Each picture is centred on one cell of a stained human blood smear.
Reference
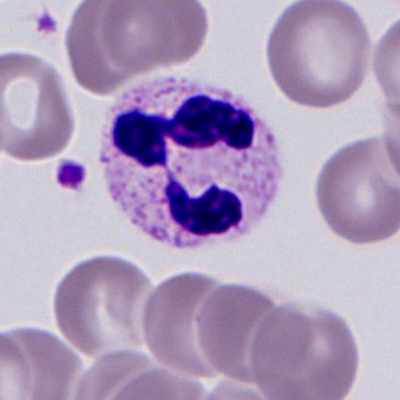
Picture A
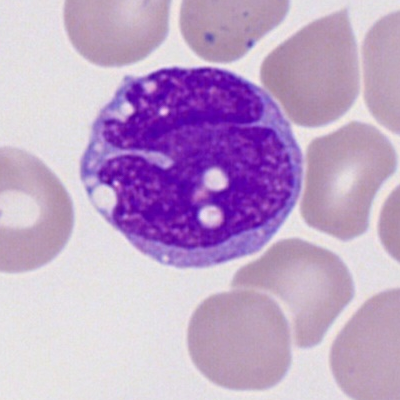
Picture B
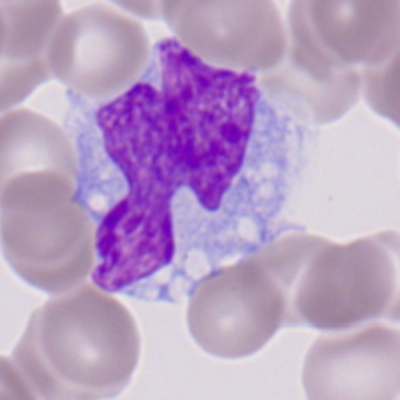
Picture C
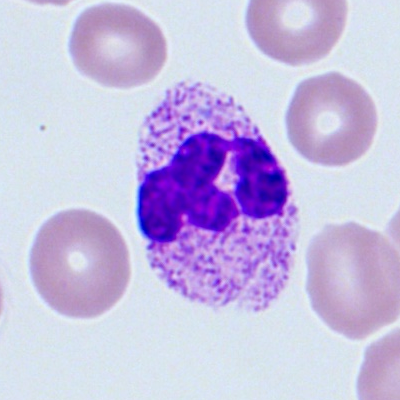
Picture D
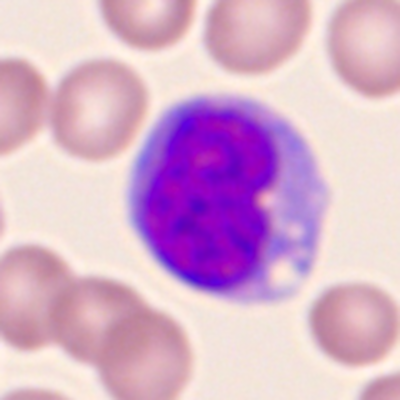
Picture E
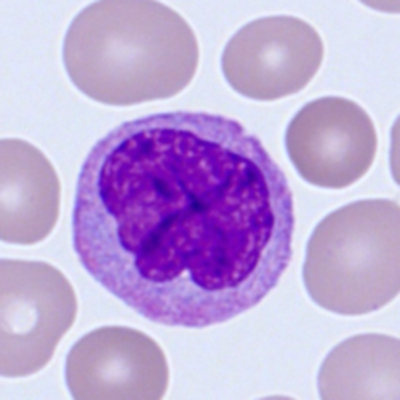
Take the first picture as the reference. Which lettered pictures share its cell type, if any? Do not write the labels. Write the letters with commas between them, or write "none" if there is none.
C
